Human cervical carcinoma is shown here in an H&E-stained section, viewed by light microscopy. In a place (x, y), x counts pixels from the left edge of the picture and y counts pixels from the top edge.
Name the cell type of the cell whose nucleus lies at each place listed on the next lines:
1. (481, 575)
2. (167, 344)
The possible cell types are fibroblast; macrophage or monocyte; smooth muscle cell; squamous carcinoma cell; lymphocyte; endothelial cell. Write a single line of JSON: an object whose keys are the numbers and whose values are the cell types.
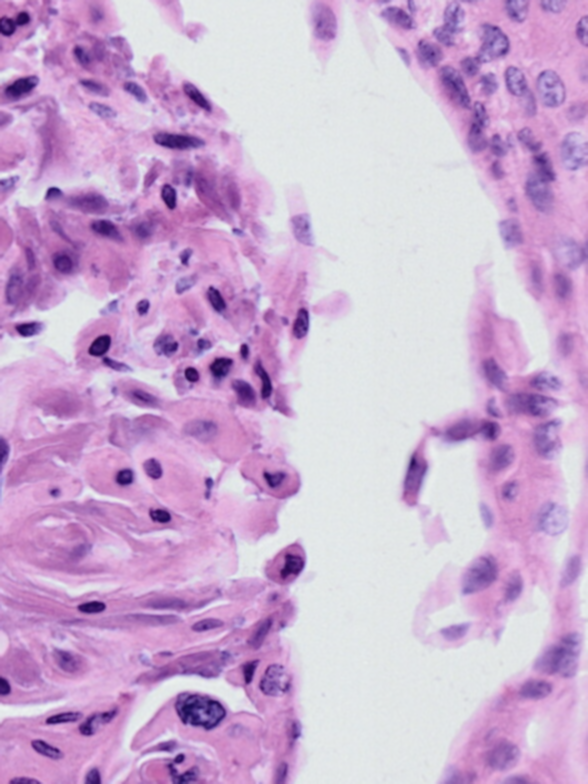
{"1": "squamous carcinoma cell", "2": "macrophage or monocyte"}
